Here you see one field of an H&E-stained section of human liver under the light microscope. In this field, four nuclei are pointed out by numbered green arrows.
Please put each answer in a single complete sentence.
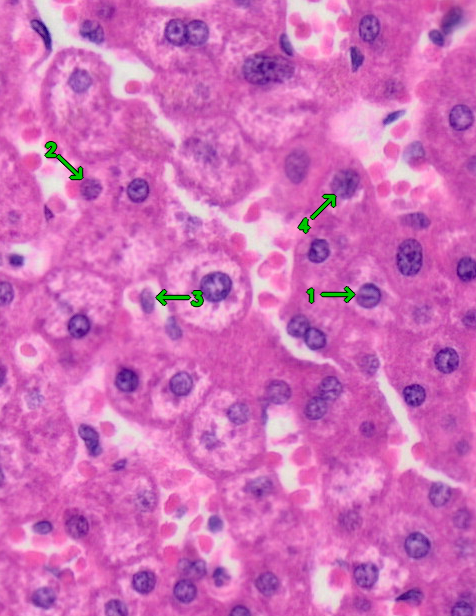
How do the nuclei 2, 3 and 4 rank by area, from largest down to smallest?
The nuclei rank 4, 2, 3, from largest to smallest.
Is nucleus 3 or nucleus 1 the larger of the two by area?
Nucleus 1 is larger, with an area about 1.5 times that of nucleus 3.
